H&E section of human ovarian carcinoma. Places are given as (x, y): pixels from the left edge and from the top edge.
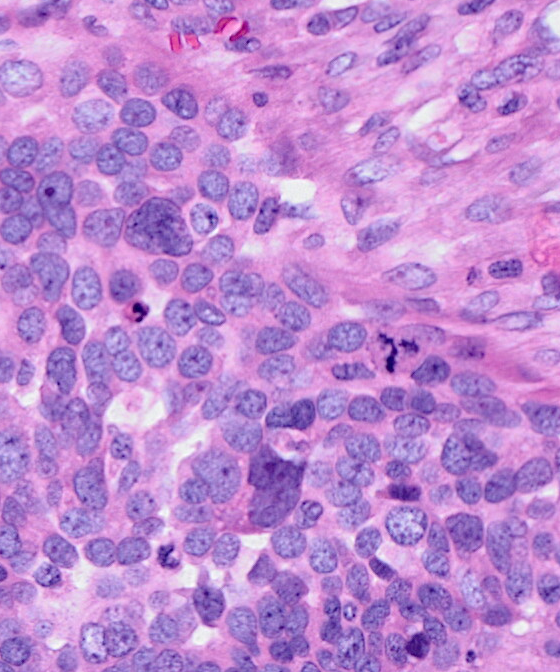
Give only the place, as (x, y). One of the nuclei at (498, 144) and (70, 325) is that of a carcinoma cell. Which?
(70, 325)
